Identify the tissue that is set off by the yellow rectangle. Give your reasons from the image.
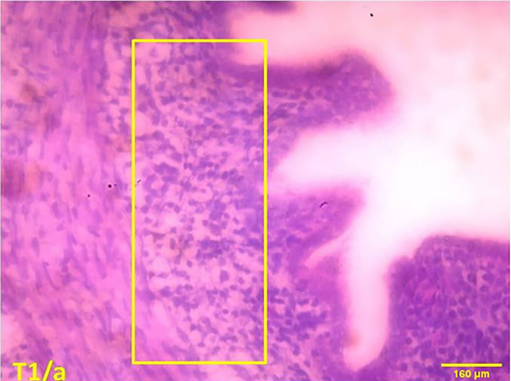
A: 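The rectangle lies beneath the epithelial folds that line the pale lumen. The boxed layer is crowded with small dark nuclei. On this evidence: lamina propria.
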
